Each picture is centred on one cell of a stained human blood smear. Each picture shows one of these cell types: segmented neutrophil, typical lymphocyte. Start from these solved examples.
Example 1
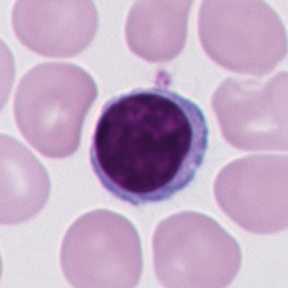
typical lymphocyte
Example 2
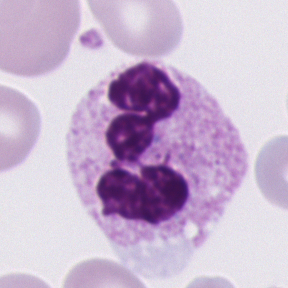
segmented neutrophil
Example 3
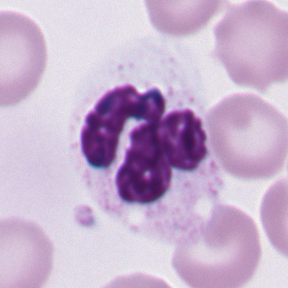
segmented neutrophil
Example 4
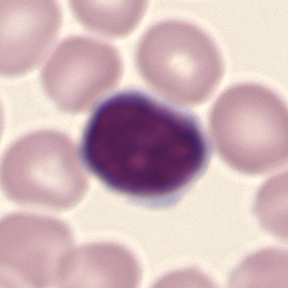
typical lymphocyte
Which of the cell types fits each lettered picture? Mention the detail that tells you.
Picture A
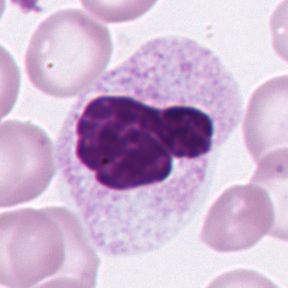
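Label: segmented neutrophil. The cytoplasm is abundant, covering more area than the nucleus.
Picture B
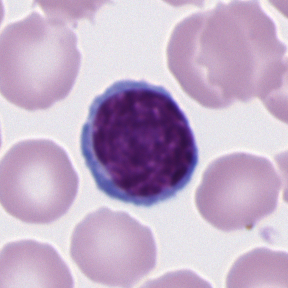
Label: typical lymphocyte. The cytoplasm forms a narrow blue rim around the nucleus.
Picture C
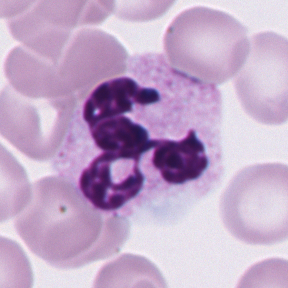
Label: segmented neutrophil. The nucleus is split into at least four separate lobes.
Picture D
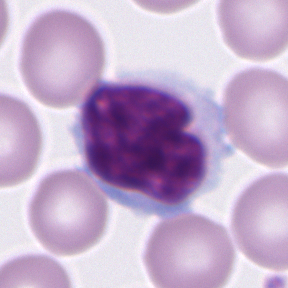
Label: typical lymphocyte. The cytoplasm is a narrow pale blue rim around the nucleus.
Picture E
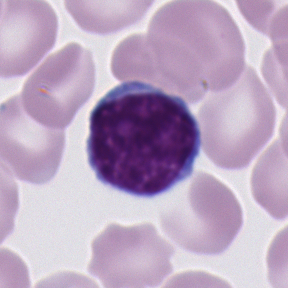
Label: typical lymphocyte. The cytoplasm is only a thin rim around the nucleus.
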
